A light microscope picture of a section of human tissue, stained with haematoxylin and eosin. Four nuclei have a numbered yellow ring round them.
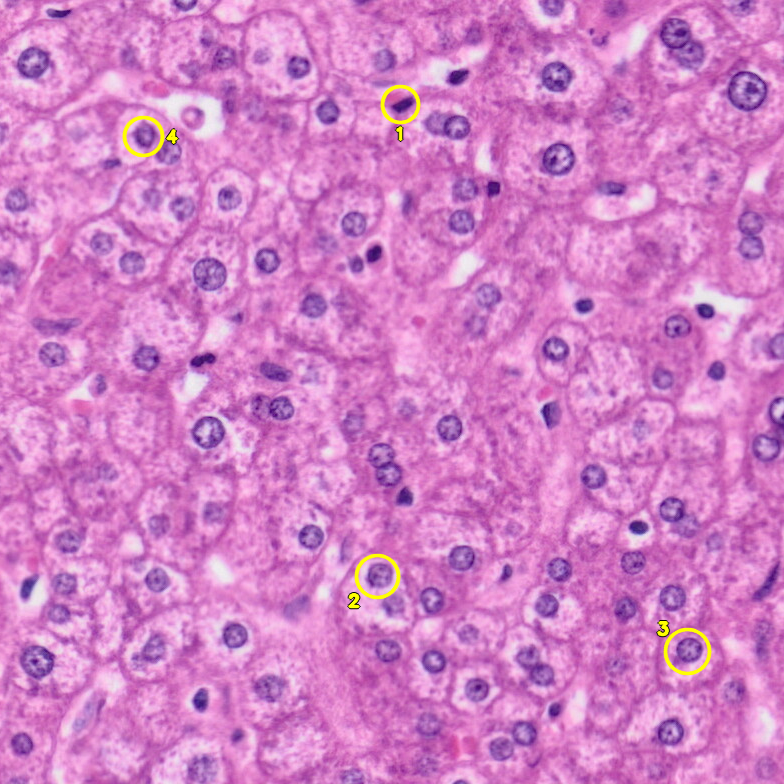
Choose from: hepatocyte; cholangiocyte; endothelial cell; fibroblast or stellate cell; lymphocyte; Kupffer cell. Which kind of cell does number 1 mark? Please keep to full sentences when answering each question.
Regarding cell 1, this one is a fibroblast or stellate cell.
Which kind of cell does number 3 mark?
The cell identified by number 3 is a hepatocyte.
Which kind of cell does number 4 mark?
To a hepatocyte belongs the nucleus marked 4.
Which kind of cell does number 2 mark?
Here the cell numbered 2 is a hepatocyte.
